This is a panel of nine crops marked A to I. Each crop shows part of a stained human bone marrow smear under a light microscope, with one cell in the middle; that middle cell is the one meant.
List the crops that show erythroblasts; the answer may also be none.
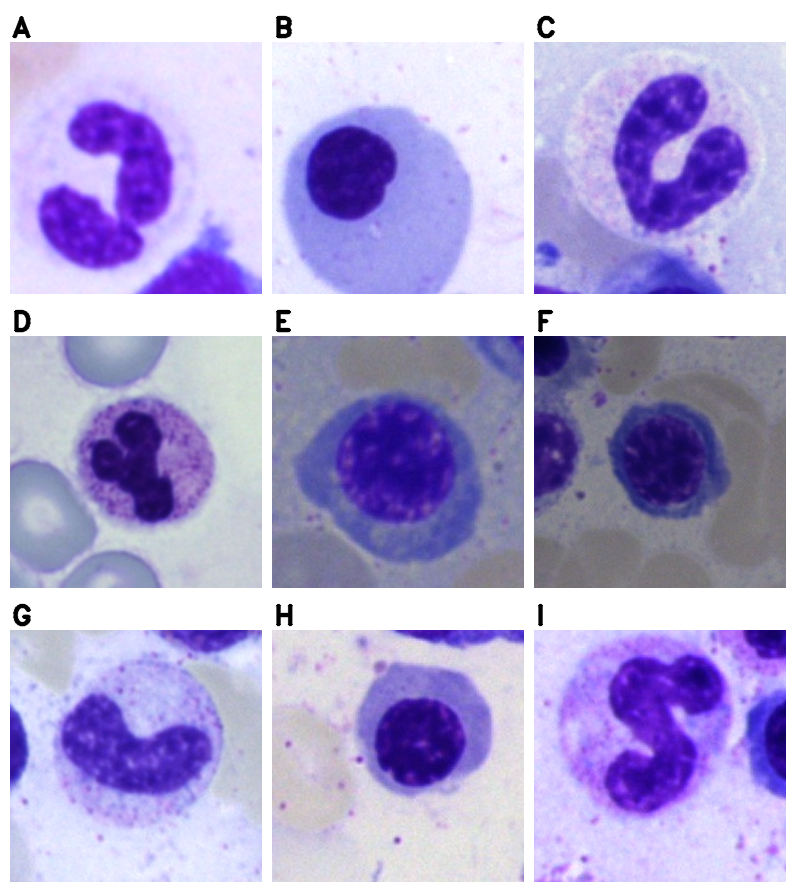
B, E, F, H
